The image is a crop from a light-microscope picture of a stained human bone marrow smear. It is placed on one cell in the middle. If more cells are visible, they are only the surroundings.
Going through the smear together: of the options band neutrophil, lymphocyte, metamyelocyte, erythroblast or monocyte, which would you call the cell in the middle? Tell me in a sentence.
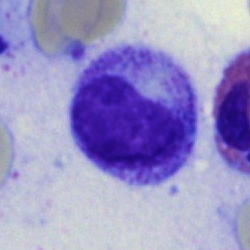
Located at the centre of the crop is a metamyelocyte.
